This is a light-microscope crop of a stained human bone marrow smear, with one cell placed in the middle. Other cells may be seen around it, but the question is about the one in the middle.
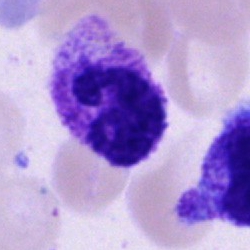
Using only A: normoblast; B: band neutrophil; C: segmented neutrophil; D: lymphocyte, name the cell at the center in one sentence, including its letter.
Option C is right, the centrally situated cell being a segmented neutrophil.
